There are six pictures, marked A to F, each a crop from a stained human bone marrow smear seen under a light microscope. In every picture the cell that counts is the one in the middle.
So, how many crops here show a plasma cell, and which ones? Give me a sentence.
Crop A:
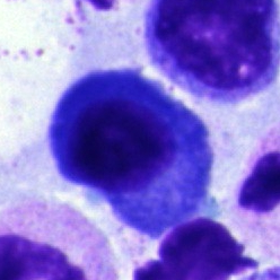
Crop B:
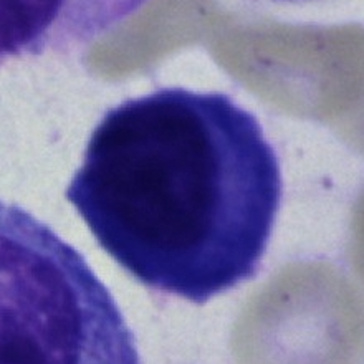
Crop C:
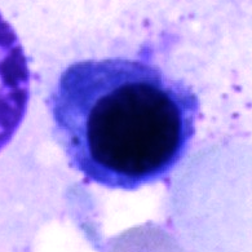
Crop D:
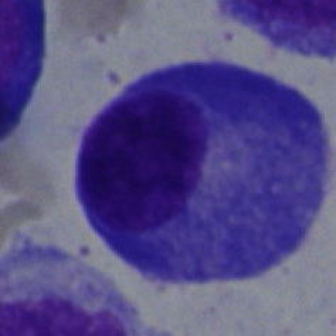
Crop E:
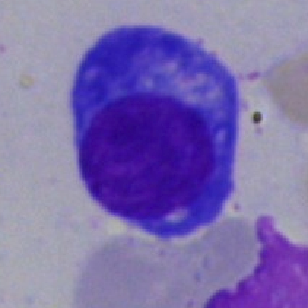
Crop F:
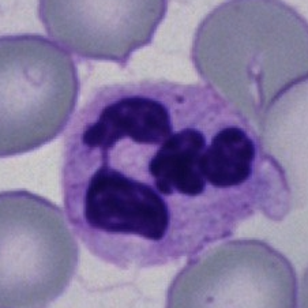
Crops A, B, D and E are the four that show plasma cells.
